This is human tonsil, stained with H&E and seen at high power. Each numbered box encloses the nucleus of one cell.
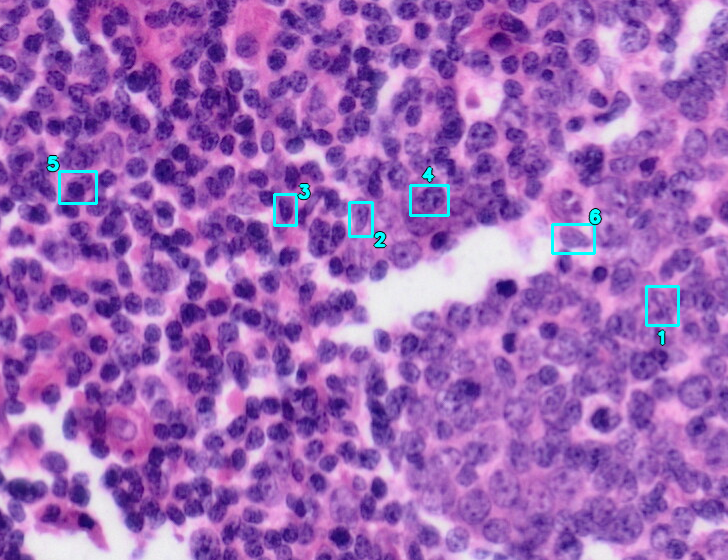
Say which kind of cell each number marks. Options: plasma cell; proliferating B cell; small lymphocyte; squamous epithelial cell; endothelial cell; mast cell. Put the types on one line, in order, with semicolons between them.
proliferating B cell; proliferating B cell; small lymphocyte; proliferating B cell; small lymphocyte; proliferating B cell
